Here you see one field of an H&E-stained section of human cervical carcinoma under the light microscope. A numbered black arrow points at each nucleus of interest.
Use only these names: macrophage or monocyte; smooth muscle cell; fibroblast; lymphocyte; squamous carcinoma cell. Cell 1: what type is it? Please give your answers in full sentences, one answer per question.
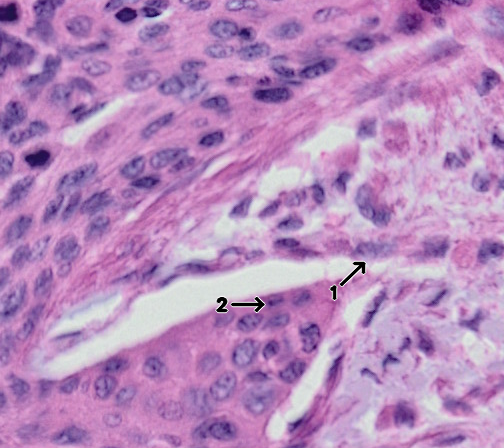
Cell 1 in the field is a fibroblast.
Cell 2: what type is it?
In this section, number 2 marks a squamous carcinoma cell.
